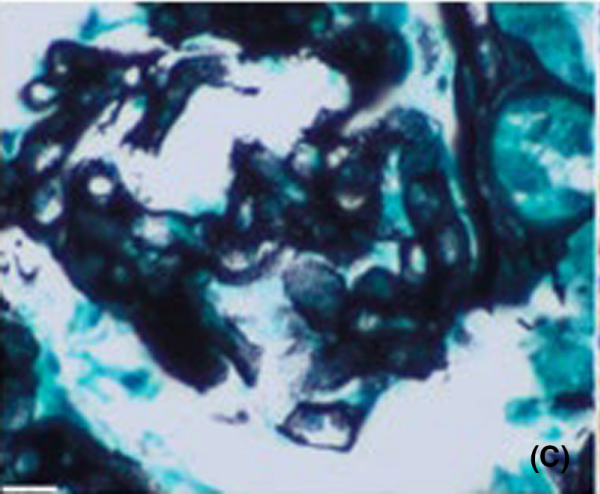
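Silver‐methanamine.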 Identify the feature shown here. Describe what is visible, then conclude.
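The capillary walls are stained black and thickened. On this evidence: Spikes.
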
